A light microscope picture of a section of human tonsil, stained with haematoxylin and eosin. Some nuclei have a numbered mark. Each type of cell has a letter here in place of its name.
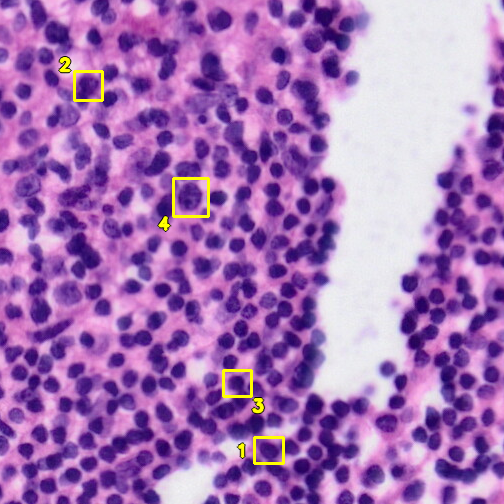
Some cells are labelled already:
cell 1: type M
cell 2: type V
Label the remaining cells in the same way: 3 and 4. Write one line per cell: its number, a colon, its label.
3: type M
4: type V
